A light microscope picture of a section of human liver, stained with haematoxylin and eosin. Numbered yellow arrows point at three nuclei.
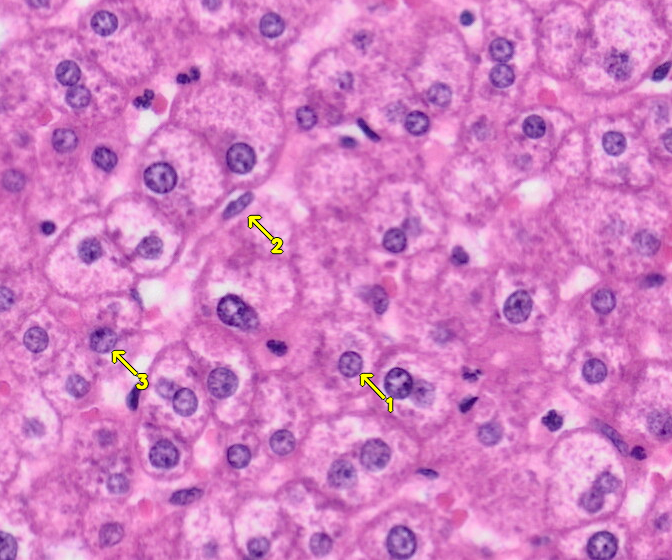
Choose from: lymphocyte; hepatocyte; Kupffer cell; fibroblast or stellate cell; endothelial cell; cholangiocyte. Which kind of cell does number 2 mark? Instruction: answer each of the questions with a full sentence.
Here the cell numbered 2 is a Kupffer cell.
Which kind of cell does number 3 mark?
To a hepatocyte belongs the nucleus marked 3.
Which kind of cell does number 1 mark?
Numbered cell 1 is a hepatocyte in this tissue section.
